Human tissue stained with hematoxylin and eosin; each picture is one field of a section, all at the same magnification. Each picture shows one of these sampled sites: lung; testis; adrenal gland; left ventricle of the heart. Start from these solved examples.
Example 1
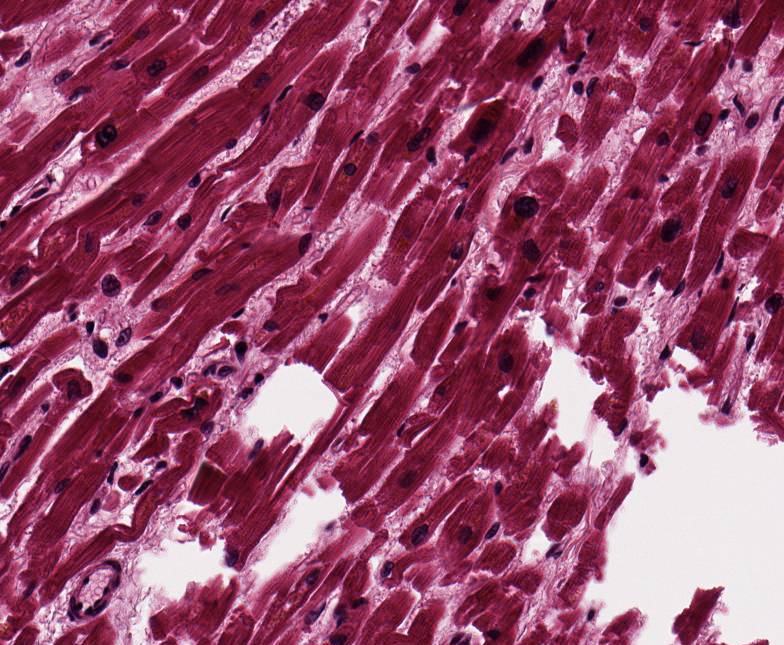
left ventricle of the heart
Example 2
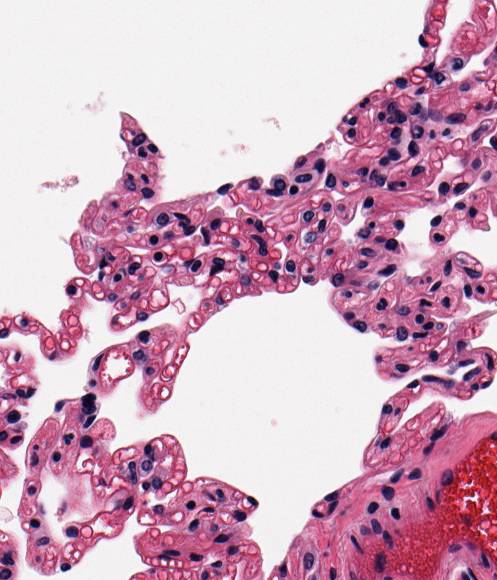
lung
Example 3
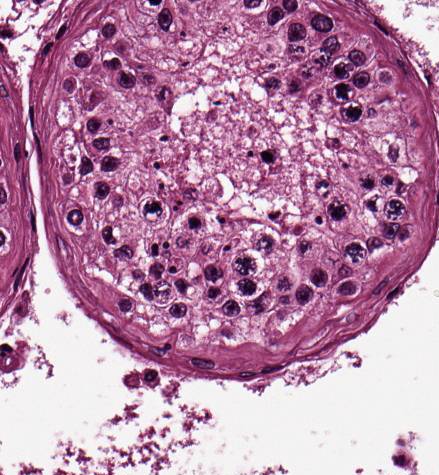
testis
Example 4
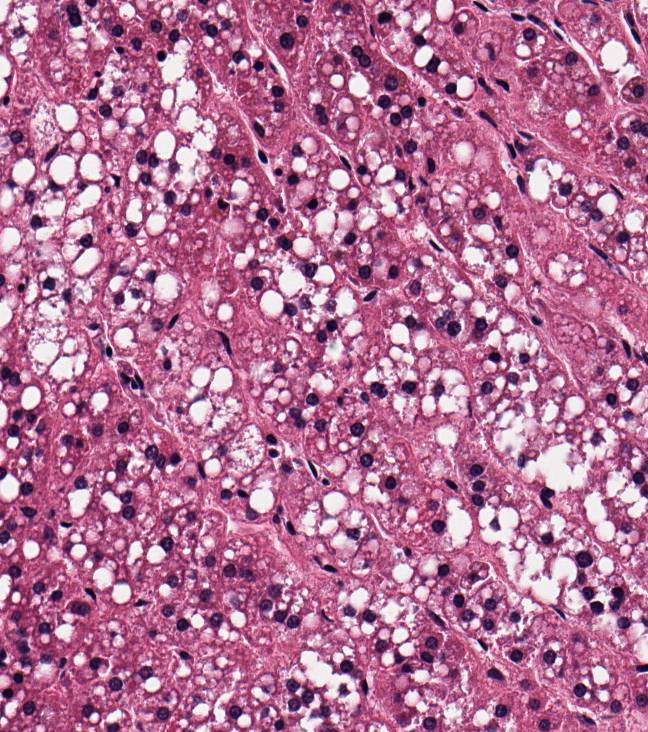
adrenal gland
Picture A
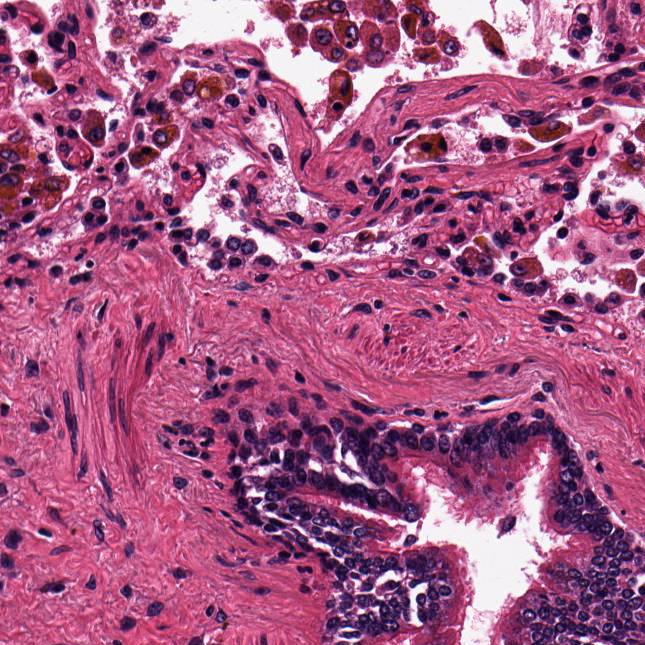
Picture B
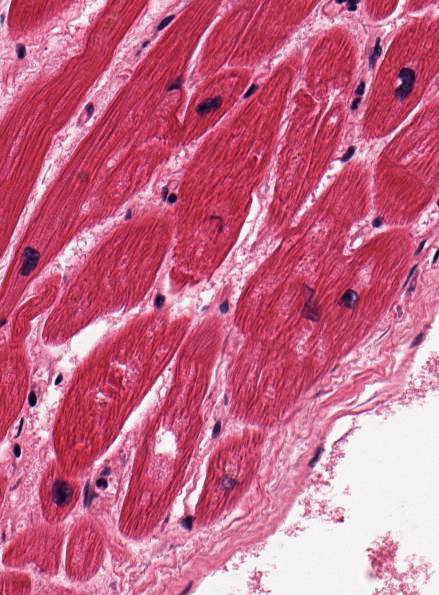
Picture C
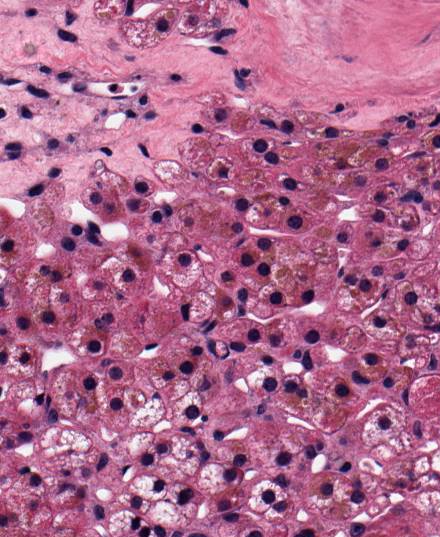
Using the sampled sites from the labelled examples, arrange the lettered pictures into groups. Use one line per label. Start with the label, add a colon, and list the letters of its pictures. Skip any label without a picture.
lung: A
adrenal gland: C
left ventricle of the heart: B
